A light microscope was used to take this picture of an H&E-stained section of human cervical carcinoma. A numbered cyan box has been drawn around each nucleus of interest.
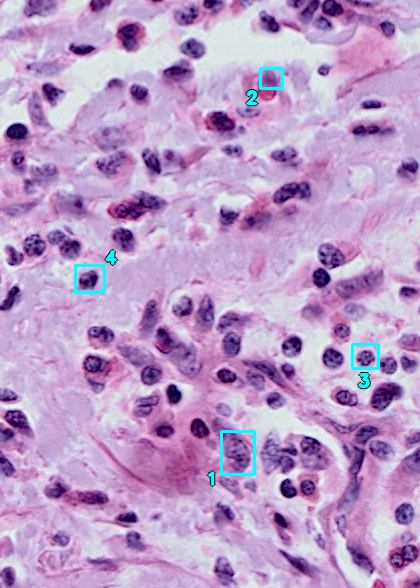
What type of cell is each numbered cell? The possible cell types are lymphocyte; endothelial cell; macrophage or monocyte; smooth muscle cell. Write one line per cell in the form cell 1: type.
cell 1: macrophage or monocyte
cell 2: endothelial cell
cell 3: lymphocyte
cell 4: lymphocyte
